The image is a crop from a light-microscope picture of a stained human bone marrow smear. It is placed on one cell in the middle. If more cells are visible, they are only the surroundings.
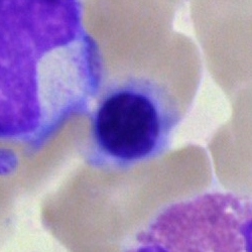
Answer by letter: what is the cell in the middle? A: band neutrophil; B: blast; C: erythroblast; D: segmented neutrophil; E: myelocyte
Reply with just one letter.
C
